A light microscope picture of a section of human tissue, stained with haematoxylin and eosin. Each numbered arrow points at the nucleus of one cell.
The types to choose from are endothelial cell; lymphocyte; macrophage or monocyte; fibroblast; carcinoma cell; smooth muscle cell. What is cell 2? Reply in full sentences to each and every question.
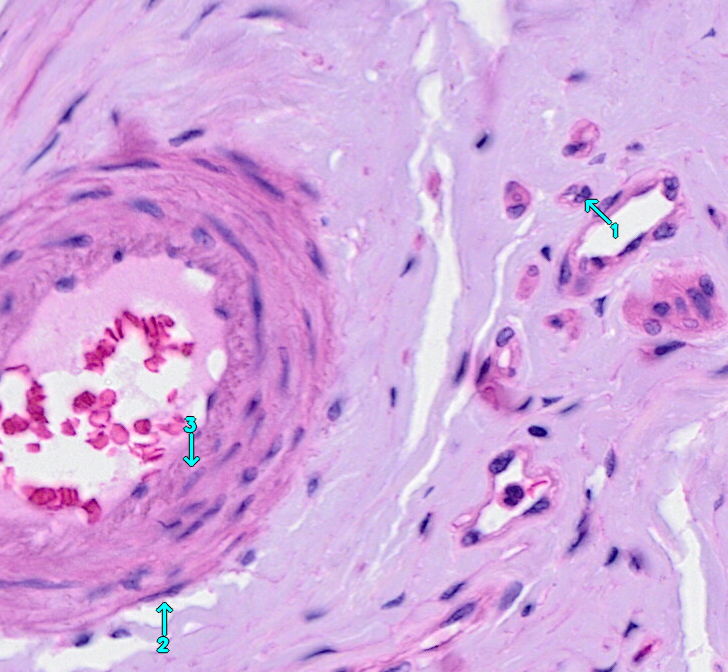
Heads up, the cell numbered 2 is a smooth muscle cell.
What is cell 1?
In the tissue shown, cell 1 is an endothelial cell.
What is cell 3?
The nucleus with number 3 is that of a smooth muscle cell.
